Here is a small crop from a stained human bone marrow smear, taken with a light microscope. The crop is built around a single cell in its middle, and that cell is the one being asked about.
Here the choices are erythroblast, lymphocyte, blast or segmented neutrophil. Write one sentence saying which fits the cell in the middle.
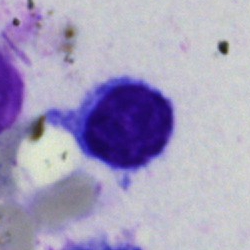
The cell in the middle of the field of view is a lymphocyte.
